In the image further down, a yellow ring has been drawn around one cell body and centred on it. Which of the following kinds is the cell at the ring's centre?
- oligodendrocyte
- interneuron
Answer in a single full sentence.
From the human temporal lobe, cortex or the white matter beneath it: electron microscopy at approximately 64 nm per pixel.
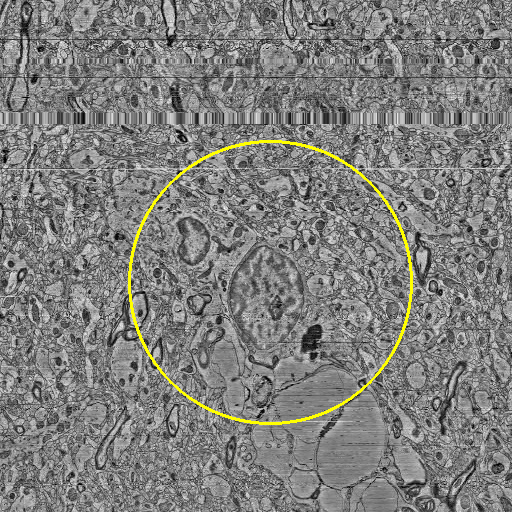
In the picture, the cell sitting at the centre of the yellow ring is an oligodendrocyte.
